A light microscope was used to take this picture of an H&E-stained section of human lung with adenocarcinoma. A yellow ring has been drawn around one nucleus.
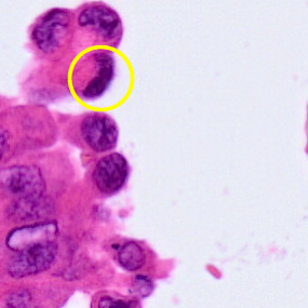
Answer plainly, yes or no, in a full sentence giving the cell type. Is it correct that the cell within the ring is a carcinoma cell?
Yes, put very simply, the cell within the ring is a carcinoma cell.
